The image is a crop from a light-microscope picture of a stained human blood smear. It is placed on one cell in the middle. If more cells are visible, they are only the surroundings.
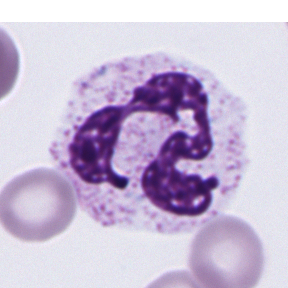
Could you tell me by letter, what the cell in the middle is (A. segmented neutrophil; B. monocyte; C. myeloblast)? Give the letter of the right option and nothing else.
A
